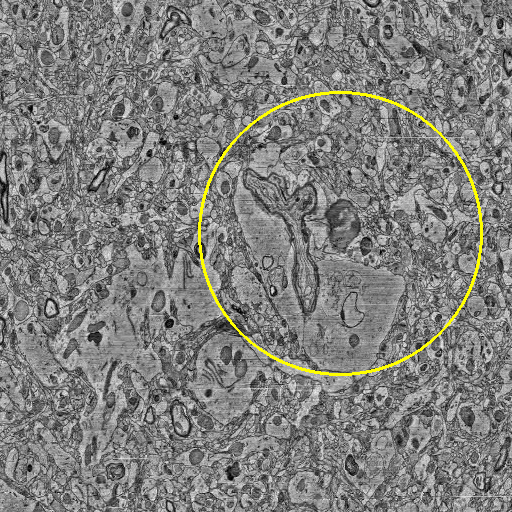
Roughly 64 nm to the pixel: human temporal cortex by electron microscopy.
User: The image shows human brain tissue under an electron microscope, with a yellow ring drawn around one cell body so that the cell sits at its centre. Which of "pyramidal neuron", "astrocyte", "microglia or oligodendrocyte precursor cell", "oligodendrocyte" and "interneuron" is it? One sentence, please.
At the centre of the ring sits a microglial cell or oligodendrocyte precursor cell.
